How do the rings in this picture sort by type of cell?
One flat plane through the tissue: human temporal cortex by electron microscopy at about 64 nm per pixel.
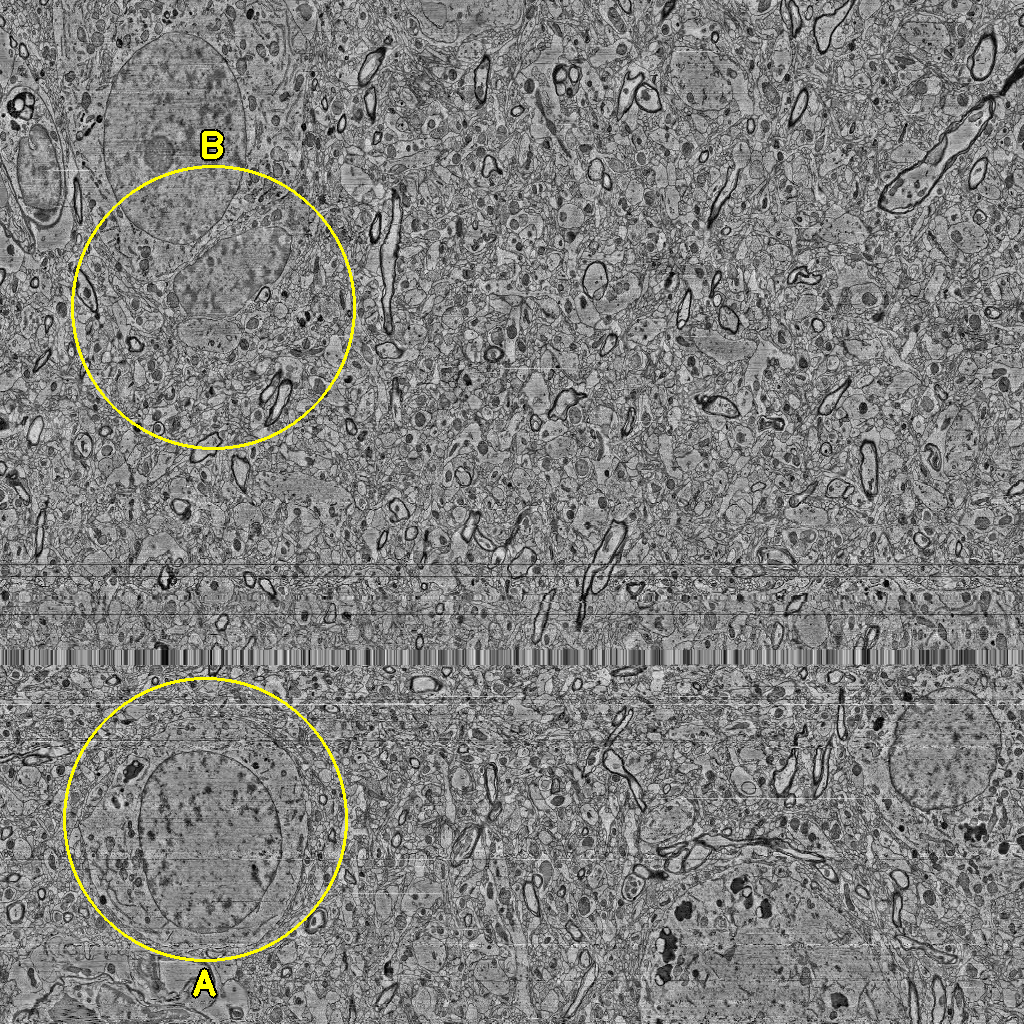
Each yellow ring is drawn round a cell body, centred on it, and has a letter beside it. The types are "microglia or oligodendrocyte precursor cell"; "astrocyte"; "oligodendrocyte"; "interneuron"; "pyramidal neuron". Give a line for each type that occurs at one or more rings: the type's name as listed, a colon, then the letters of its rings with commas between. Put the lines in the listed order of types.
oligodendrocyte: B
pyramidal neuron: A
